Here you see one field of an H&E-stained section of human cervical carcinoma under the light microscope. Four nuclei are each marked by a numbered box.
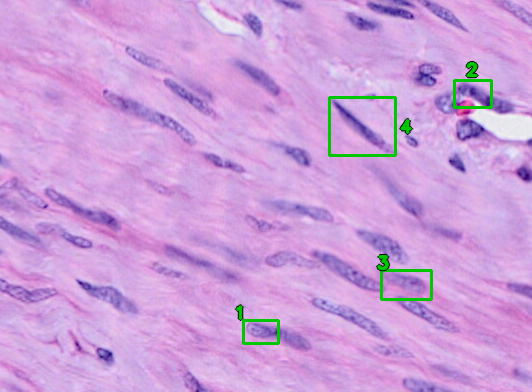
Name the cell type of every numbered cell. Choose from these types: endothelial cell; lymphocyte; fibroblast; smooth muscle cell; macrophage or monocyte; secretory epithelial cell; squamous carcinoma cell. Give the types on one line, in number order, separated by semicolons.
smooth muscle cell; endothelial cell; smooth muscle cell; fibroblast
